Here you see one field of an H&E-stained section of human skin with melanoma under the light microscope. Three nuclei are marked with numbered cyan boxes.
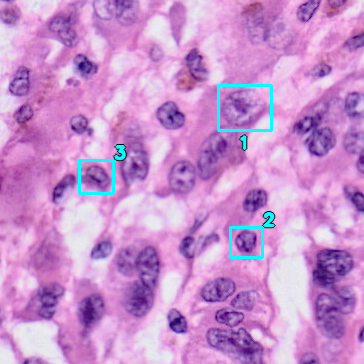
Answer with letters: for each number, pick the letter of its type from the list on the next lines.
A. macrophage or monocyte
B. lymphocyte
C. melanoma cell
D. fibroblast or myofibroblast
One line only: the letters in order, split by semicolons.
C; B; A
